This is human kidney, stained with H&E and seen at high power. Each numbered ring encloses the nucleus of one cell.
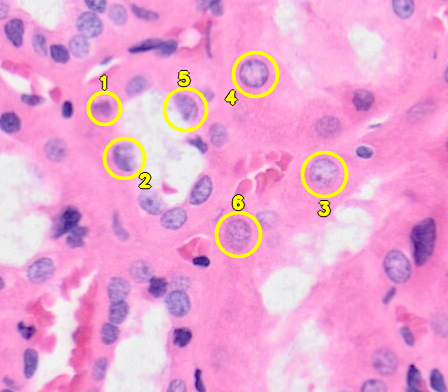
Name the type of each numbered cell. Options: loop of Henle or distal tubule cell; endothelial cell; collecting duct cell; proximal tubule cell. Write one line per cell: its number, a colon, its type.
1: loop of Henle or distal tubule cell
2: loop of Henle or distal tubule cell
3: proximal tubule cell
4: proximal tubule cell
5: loop of Henle or distal tubule cell
6: proximal tubule cell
